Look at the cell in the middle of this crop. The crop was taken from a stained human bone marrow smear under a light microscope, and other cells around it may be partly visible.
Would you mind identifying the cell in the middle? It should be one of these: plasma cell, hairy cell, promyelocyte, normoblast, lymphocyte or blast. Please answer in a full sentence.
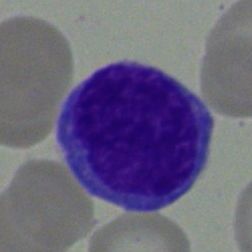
Positioned in the middle of the crop is a blast.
